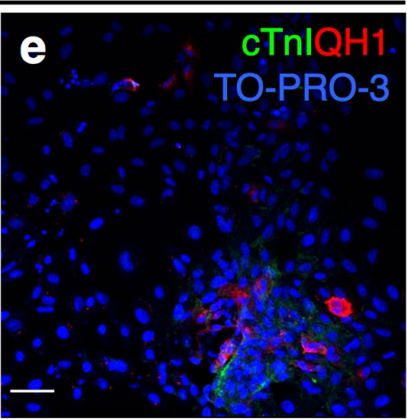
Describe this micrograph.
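Among a sheet of densely packed blue nuclei, a cluster in the lower part holds both red cells and patches of green fibrous cytoplasm lying next to one another. The red cells are rounded or irregular with bright outlines, while the green stain forms fainter streaks between nuclei.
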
